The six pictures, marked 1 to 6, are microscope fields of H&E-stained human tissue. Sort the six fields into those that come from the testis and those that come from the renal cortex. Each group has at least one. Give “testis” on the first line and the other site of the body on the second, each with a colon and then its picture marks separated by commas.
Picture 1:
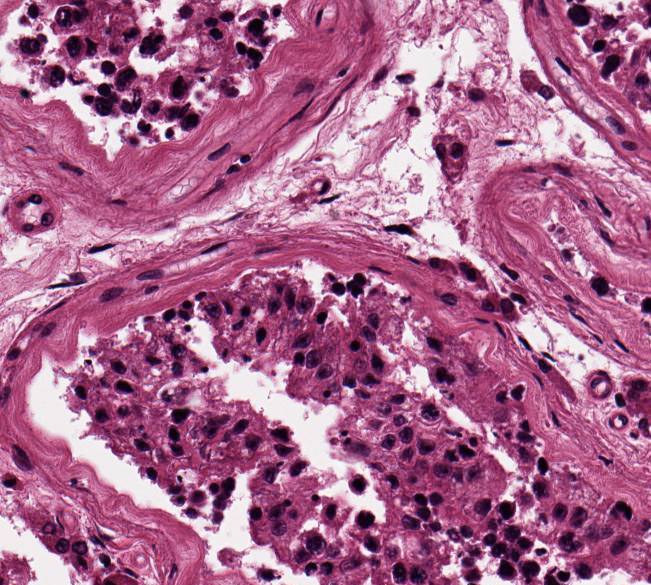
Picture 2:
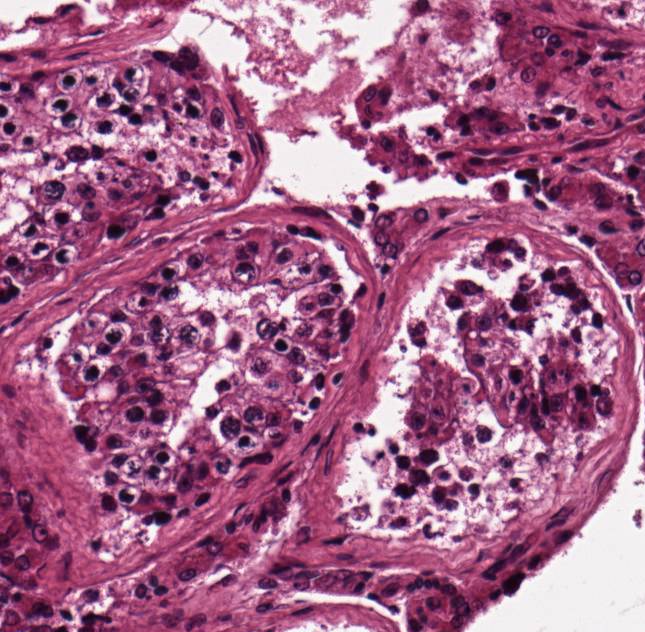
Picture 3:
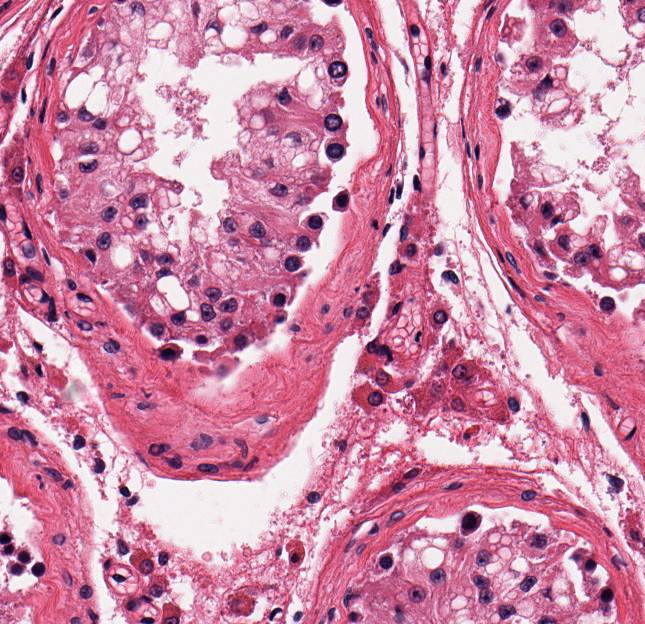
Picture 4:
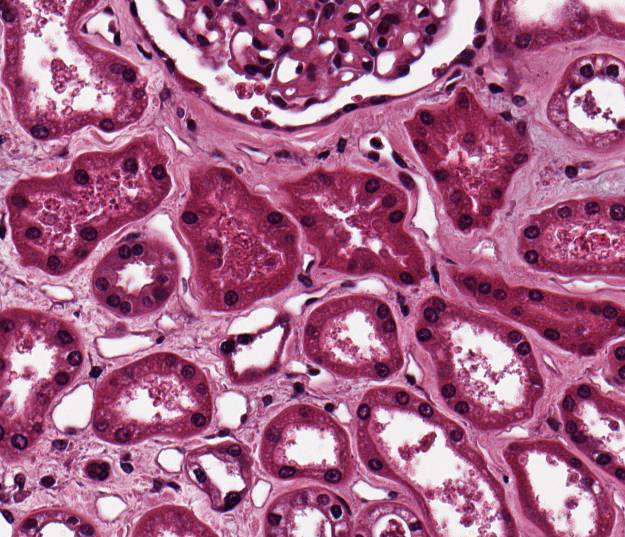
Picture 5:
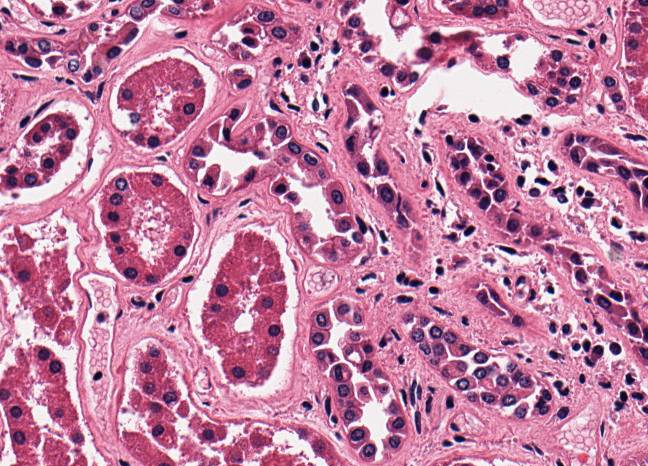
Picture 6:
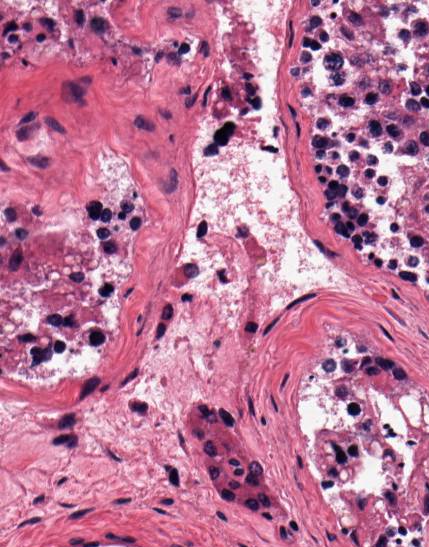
testis: 1, 2, 3, 6
renal cortex: 4, 5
